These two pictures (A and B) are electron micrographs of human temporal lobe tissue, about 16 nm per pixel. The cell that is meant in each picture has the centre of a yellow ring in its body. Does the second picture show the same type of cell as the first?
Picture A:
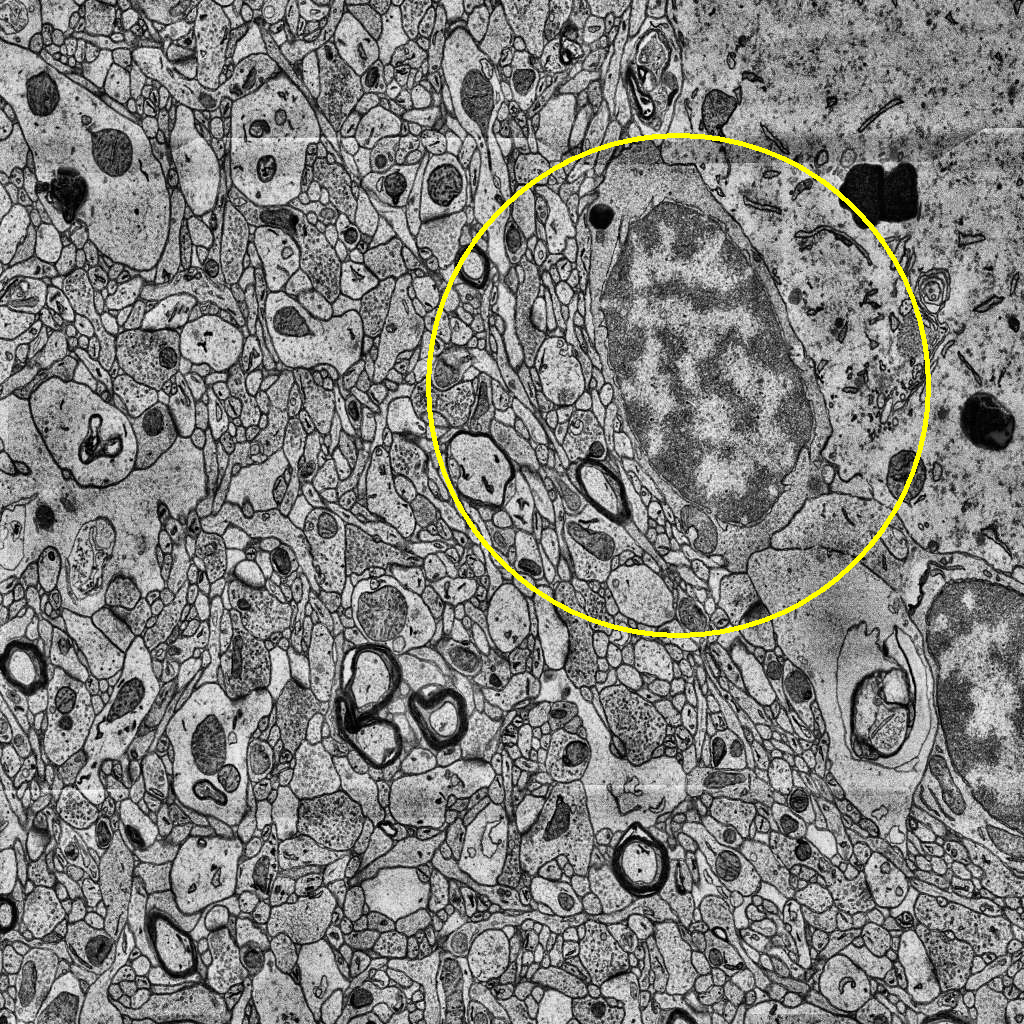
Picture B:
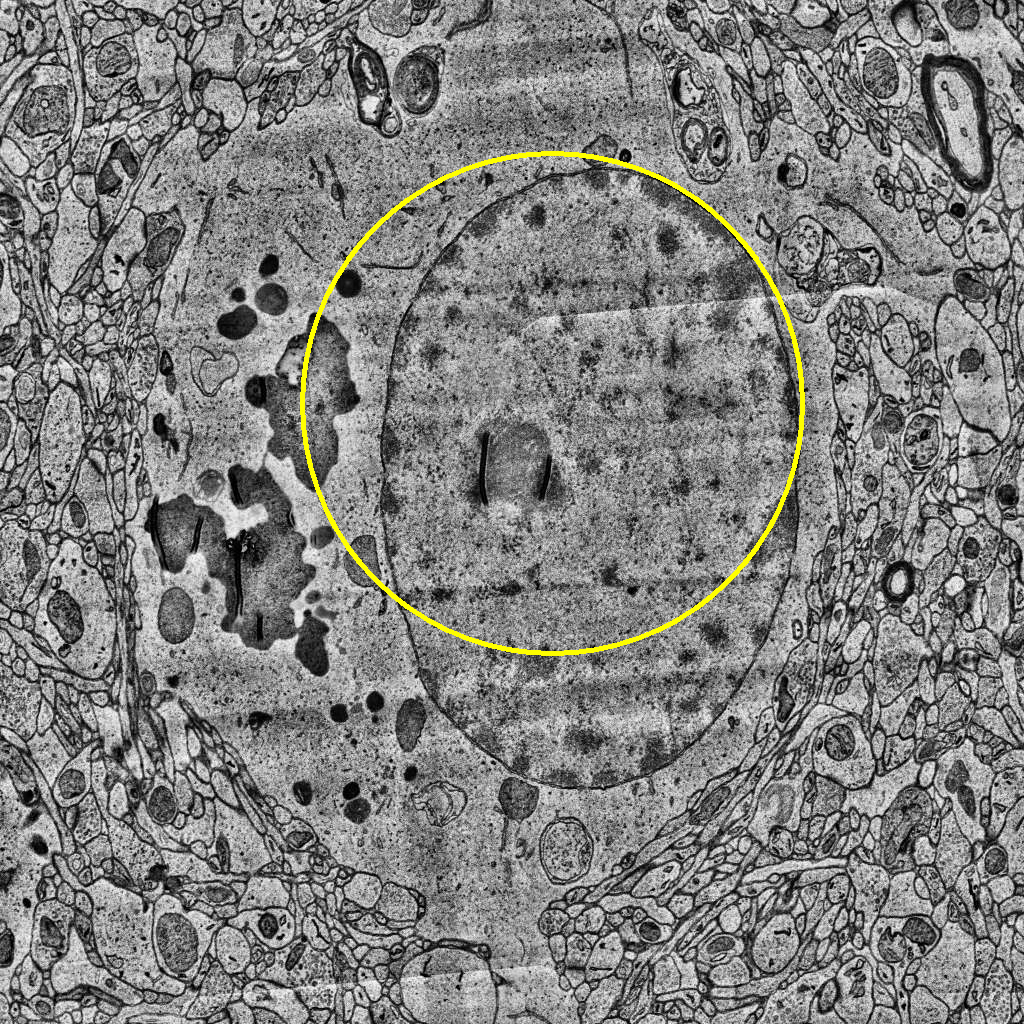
No; the cell in picture A is an oligodendrocyte, while the one in picture B is an astrocyte.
